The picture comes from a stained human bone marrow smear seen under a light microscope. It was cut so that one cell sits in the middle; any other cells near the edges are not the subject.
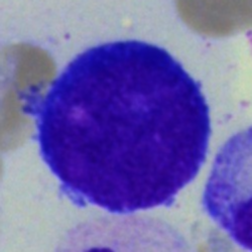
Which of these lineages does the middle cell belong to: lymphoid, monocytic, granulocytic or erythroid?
erythroid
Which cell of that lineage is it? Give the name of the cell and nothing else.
proerythroblast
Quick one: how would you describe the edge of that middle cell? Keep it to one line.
Seen at its edge, the cell is not smooth but ragged or projecting.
